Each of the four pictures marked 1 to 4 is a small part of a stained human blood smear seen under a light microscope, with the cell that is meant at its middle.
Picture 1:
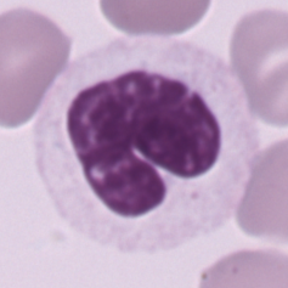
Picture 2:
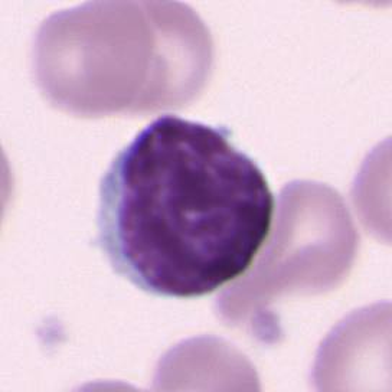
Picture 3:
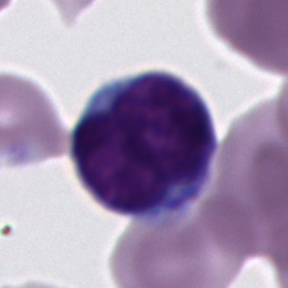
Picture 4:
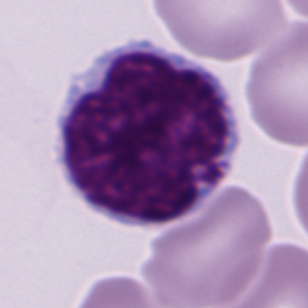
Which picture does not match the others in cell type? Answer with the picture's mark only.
1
